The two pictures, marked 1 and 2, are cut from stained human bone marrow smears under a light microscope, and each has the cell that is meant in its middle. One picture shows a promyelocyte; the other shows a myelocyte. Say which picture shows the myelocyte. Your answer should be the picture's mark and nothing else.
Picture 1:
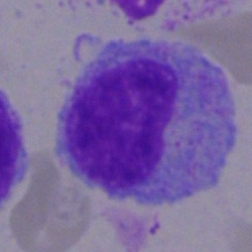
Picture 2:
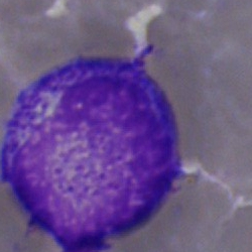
1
